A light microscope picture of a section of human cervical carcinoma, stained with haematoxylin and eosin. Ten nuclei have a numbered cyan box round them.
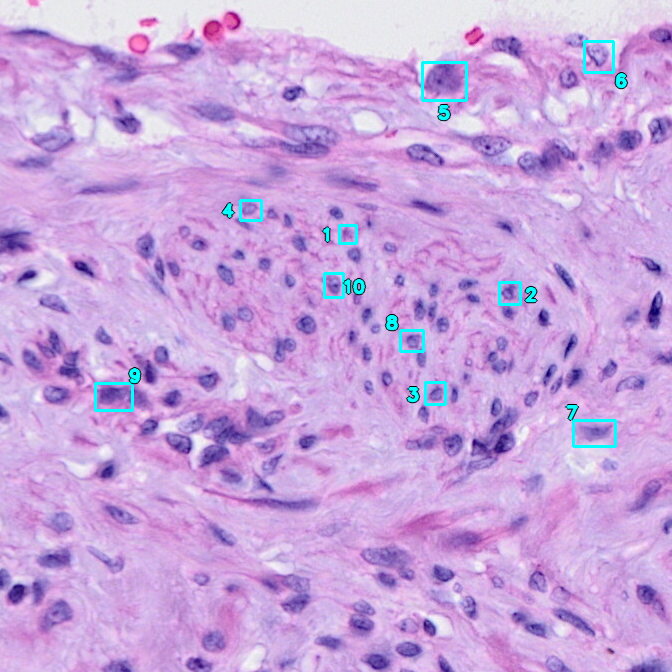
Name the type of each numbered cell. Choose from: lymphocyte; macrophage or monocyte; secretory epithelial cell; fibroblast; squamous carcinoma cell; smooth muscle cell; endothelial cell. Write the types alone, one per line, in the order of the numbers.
smooth muscle cell
smooth muscle cell
smooth muscle cell
smooth muscle cell
endothelial cell
endothelial cell
fibroblast
smooth muscle cell
endothelial cell
smooth muscle cell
